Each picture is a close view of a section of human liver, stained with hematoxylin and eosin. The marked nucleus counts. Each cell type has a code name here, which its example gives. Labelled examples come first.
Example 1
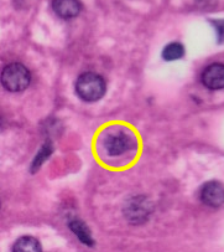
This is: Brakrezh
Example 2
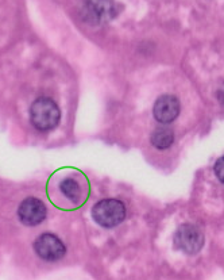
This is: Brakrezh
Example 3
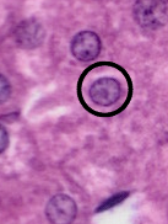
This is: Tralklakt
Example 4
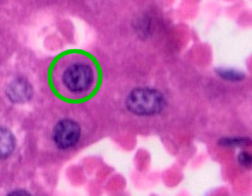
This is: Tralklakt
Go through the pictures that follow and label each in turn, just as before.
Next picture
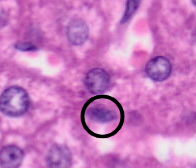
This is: Brakrezh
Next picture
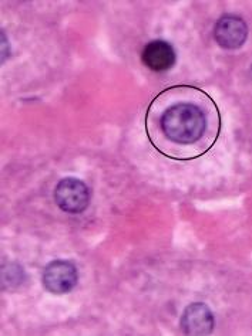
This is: Tralklakt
